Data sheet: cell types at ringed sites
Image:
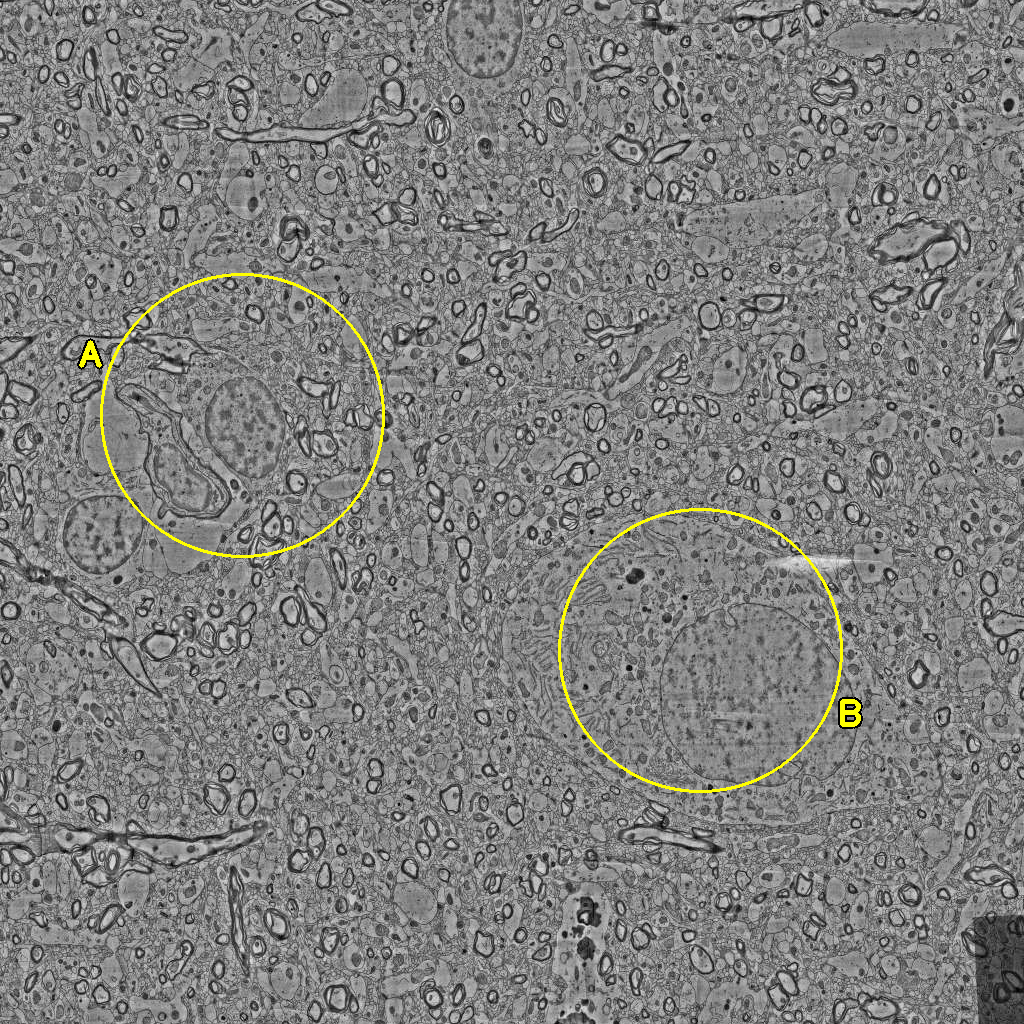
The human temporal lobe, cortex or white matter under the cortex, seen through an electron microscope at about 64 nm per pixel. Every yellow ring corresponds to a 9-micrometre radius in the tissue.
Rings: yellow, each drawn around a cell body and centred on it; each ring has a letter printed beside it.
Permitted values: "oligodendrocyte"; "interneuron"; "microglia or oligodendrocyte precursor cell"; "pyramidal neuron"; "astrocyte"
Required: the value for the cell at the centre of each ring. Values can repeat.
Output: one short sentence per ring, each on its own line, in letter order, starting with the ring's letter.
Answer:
Ring A has an oligodendrocyte at its centre.
Ring B has an interneuron at its centre.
